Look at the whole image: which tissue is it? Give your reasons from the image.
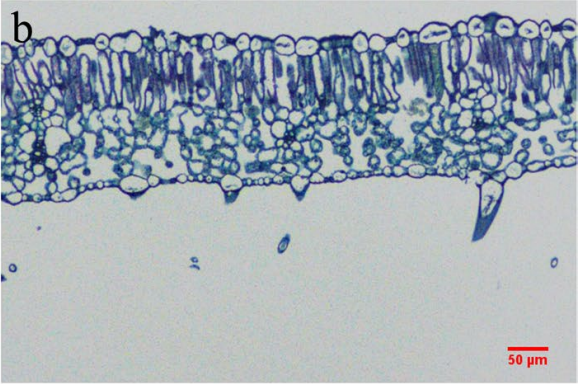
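A thin blade sectioned crosswise with a single-layered surface on both sides. Columnar cells under the upper surface and loose irregular cells below. Pointed hair-like projections on the lower surface.
Leaf.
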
